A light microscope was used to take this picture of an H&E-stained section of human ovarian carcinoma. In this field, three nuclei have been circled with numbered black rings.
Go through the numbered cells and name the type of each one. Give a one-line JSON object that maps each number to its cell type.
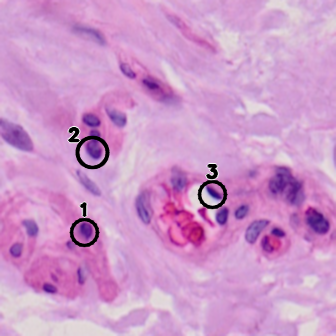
{"1": "smooth muscle cell", "2": "smooth muscle cell", "3": "endothelial cell"}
